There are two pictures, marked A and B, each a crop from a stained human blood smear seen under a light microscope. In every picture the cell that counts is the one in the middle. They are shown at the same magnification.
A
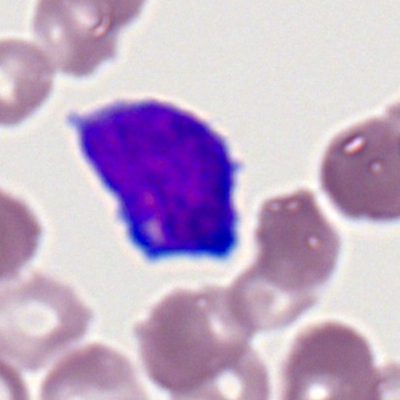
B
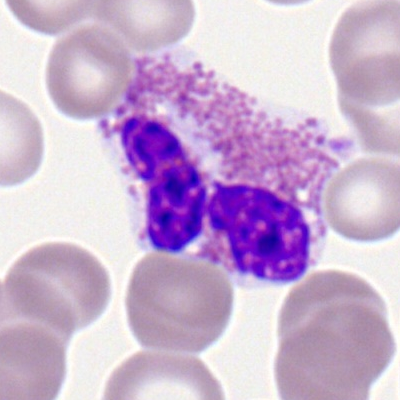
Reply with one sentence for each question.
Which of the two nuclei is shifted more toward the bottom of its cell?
Seen within its cell, the nucleus in picture B lies further toward the bottom.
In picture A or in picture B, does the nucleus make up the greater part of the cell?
Of the two, the nucleus in picture A makes up the greater part of its cell.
